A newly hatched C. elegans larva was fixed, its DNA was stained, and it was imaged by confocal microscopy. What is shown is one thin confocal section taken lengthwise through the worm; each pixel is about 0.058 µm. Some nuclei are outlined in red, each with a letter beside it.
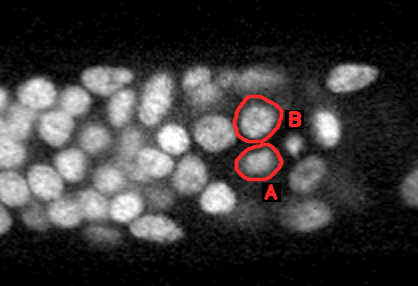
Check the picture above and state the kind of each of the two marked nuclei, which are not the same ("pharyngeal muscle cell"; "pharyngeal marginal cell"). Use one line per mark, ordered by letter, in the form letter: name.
A: pharyngeal marginal cell
B: pharyngeal muscle cell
